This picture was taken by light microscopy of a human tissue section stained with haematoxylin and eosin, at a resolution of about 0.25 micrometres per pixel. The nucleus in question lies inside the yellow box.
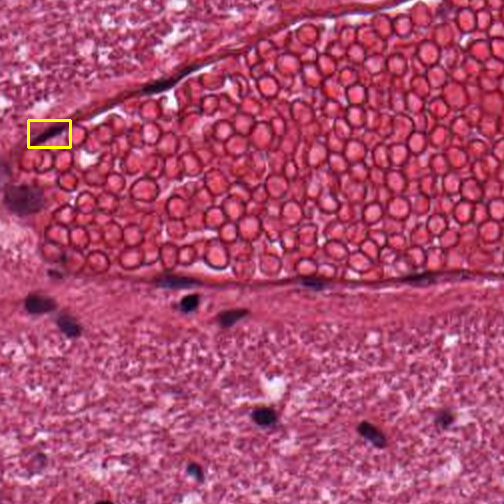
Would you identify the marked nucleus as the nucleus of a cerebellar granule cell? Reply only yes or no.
no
